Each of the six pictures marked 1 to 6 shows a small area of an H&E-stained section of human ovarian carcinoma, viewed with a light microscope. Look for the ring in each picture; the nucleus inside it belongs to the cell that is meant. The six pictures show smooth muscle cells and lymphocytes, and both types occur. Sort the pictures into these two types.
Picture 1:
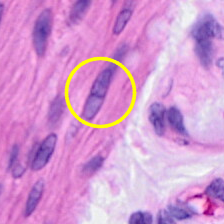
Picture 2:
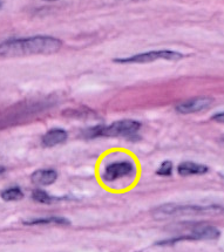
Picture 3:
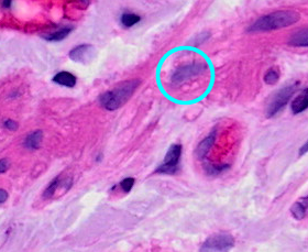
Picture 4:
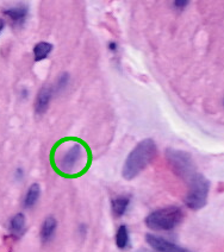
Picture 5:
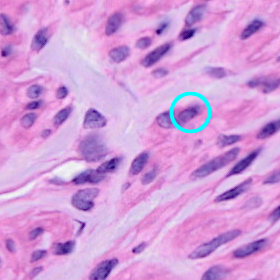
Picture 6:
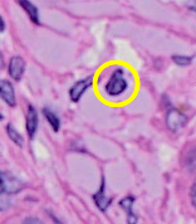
1: smooth muscle cell
2: lymphocyte
3: smooth muscle cell
4: smooth muscle cell
5: smooth muscle cell
6: lymphocyte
